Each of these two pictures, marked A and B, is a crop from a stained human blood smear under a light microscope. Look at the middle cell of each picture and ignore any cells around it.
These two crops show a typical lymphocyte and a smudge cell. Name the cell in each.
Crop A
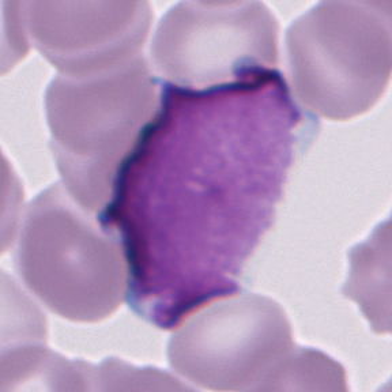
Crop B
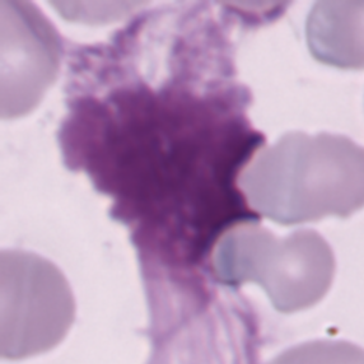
A: typical lymphocyte
B: smudge cell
